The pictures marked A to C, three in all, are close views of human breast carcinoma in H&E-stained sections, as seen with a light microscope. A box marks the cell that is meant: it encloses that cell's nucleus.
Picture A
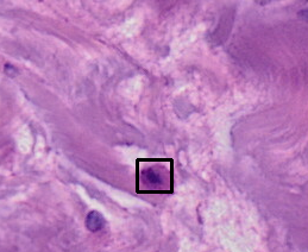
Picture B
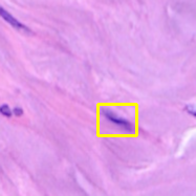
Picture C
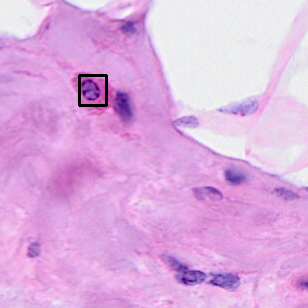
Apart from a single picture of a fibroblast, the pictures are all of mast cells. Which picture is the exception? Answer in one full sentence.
Picture B shows the fibroblast.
